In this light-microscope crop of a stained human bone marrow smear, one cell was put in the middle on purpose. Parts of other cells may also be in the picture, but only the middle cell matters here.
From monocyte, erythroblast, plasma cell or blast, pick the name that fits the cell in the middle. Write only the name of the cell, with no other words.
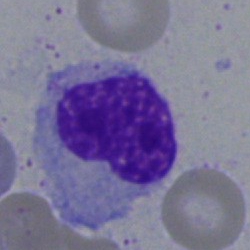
monocyte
